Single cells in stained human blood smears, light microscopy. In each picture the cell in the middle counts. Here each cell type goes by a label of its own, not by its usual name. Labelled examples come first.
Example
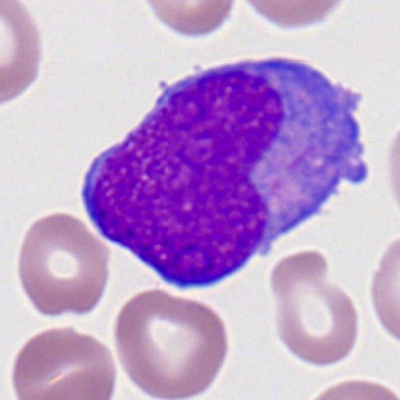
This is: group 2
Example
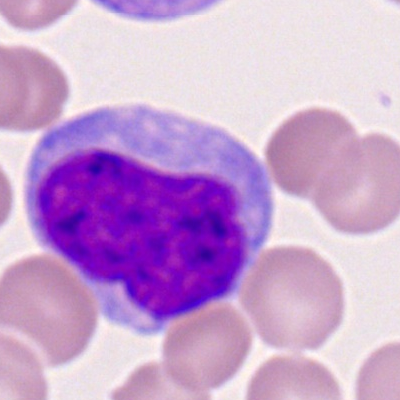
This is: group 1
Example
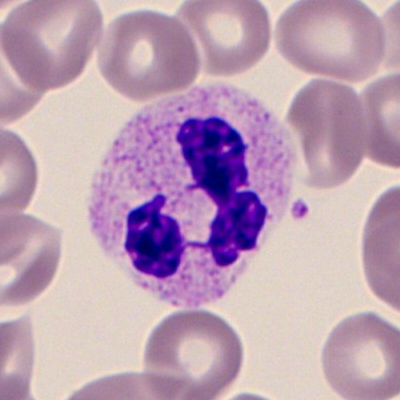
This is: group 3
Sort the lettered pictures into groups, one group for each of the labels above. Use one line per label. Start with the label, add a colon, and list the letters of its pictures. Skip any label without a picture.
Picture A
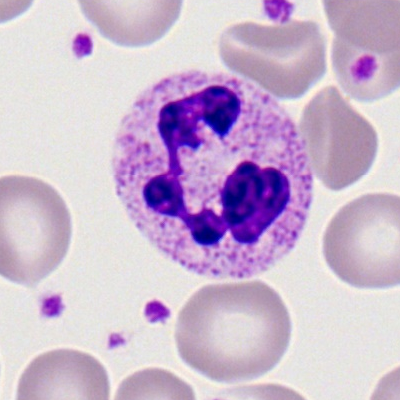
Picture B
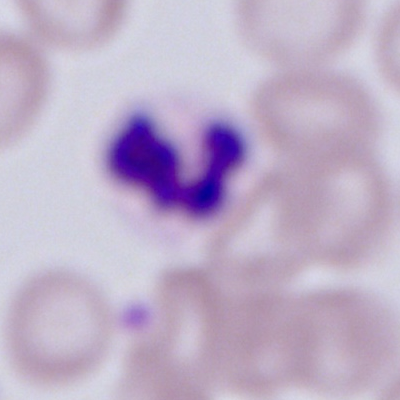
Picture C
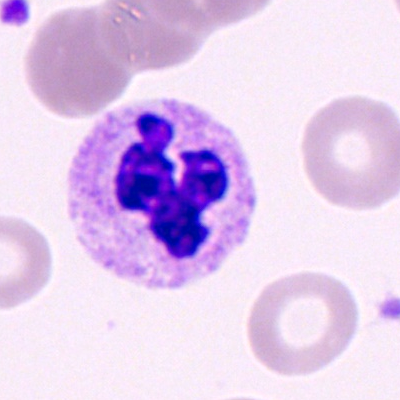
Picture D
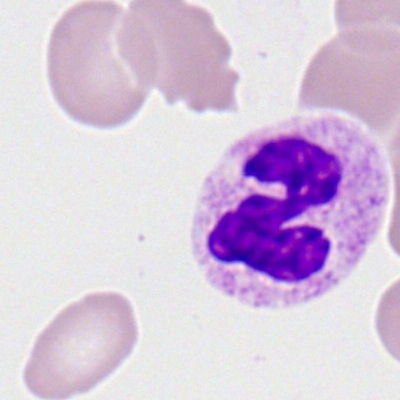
group 3: A, B, C, D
